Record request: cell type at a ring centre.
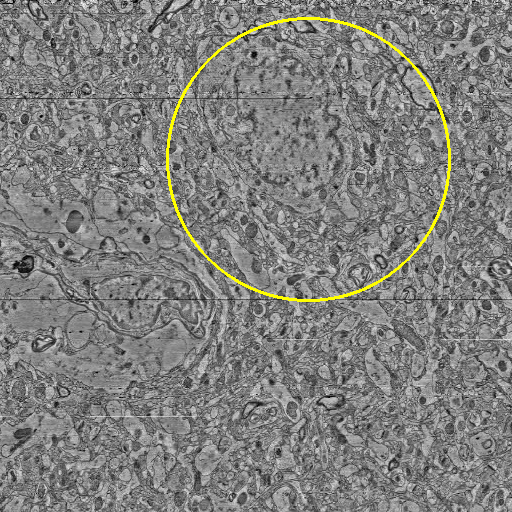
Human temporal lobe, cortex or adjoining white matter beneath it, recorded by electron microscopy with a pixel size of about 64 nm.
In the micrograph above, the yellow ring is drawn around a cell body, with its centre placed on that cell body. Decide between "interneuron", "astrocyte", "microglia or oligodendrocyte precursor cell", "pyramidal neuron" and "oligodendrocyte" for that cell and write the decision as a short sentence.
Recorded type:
The cell centred in the yellow ring is an interneuron.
